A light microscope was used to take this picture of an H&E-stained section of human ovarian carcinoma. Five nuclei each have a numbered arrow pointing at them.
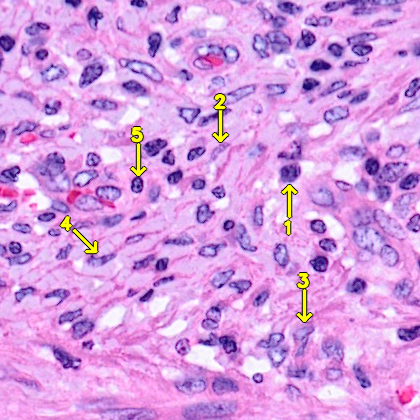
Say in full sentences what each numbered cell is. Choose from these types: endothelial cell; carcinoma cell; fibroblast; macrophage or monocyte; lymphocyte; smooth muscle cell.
Cell 1 is a lymphocyte, cell 2 is a fibroblast, cell 3 is a fibroblast, cell 4 is a fibroblast and cell 5 is a lymphocyte.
